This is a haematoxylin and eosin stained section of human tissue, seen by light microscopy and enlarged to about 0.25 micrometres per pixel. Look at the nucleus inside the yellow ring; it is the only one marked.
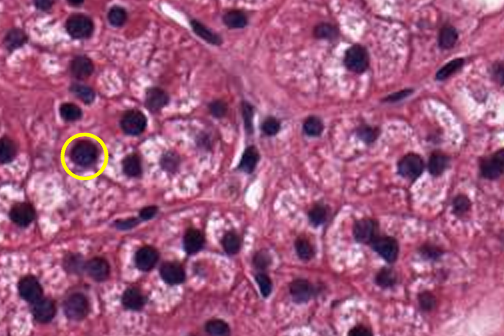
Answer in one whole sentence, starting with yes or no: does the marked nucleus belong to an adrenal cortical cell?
Yes, an adrenal cortical cell is what the marked nucleus belongs to.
